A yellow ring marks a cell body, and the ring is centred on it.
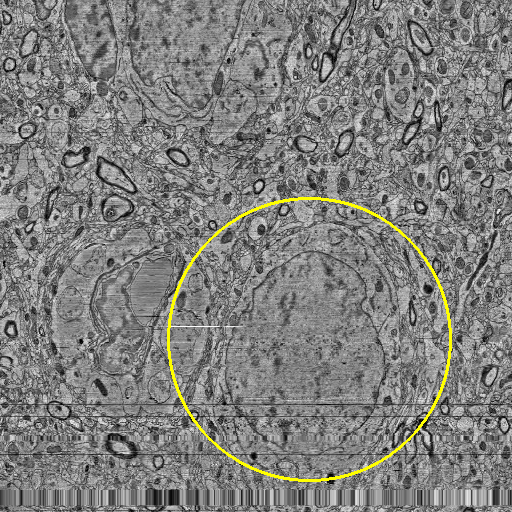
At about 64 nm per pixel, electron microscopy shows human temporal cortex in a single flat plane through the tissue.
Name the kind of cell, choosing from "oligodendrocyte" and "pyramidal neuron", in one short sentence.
The marked cell body belongs to a pyramidal neuron.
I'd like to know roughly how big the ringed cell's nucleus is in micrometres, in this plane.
In this plane, the nucleus of the cell at the centre of the ring measures about 14 by 10 micrometres.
